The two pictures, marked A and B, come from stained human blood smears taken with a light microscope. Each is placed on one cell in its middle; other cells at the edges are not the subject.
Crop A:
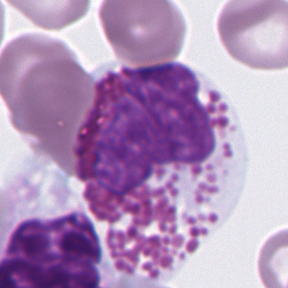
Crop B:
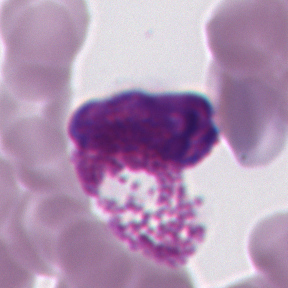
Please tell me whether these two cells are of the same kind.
yes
